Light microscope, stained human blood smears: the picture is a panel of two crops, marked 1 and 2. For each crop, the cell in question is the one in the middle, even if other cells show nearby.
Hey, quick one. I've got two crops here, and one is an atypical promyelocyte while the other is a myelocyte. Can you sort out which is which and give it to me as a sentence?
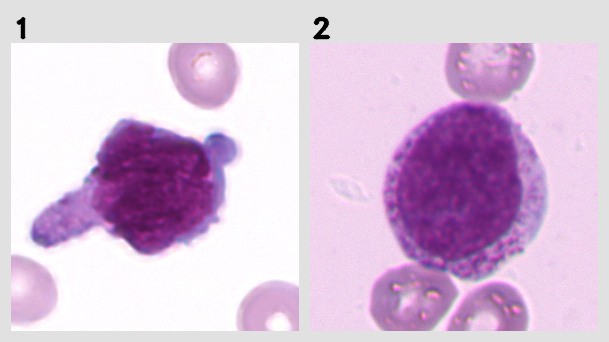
Crop 1 is an atypical promyelocyte; crop 2, on the other hand, is a myelocyte.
